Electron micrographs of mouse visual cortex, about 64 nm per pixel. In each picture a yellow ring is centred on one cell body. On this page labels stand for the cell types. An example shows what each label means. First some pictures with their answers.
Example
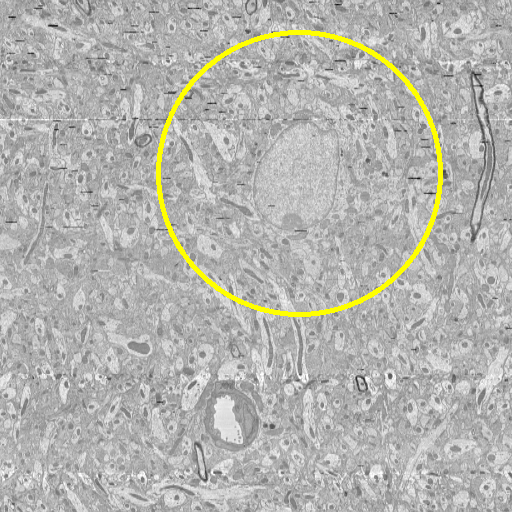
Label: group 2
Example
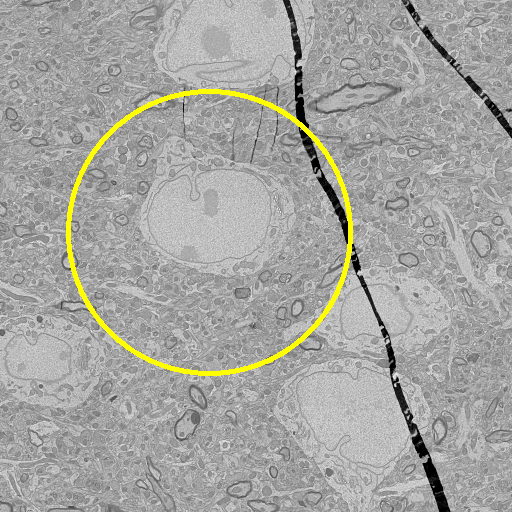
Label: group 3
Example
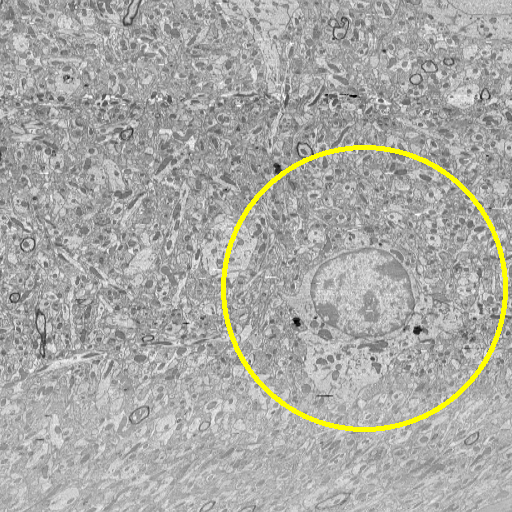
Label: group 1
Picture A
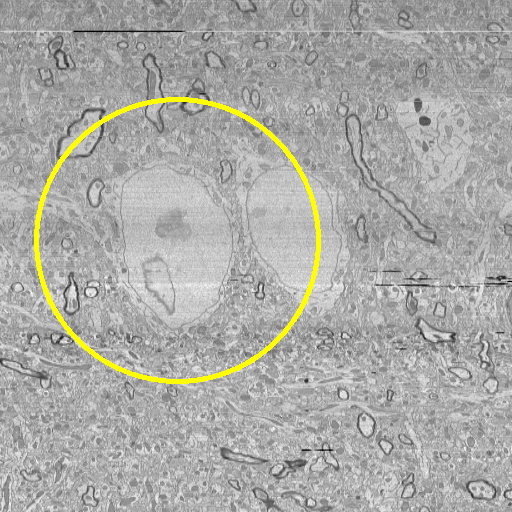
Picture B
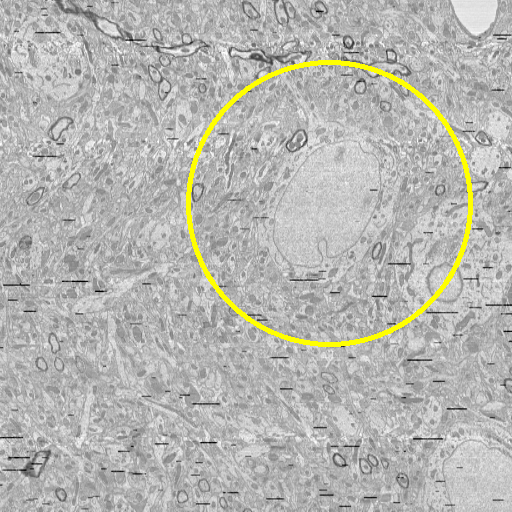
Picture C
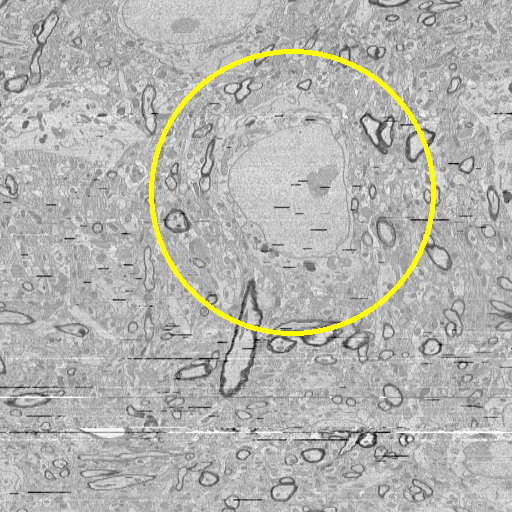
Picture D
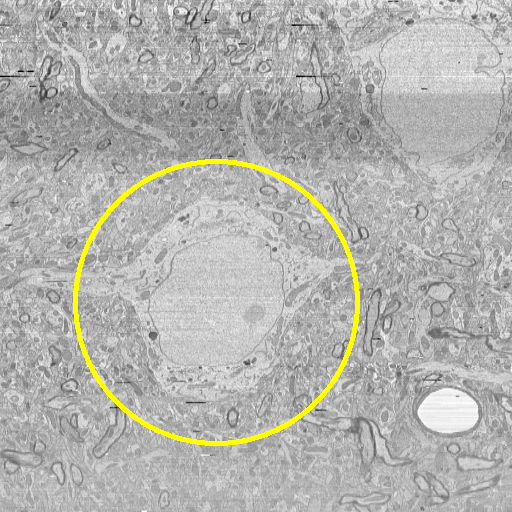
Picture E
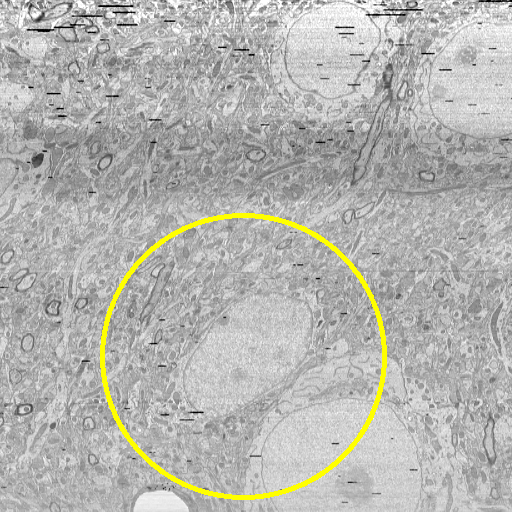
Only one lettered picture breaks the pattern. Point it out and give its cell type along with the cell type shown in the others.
E (group 2) is the exception; every other picture is group 3.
